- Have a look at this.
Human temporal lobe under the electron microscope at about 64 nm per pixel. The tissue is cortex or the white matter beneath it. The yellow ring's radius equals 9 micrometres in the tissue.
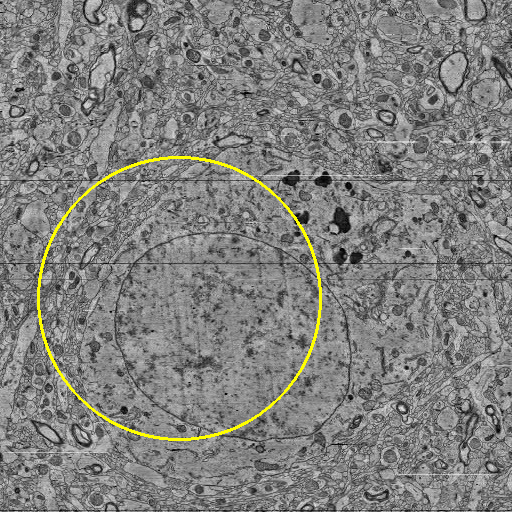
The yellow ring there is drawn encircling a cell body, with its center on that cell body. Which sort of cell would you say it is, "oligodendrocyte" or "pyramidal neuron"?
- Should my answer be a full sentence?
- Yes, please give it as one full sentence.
For this picture, a pyramidal neuron is the cell where the yellow ring has its center.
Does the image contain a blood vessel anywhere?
No, no blood vessel can be seen.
